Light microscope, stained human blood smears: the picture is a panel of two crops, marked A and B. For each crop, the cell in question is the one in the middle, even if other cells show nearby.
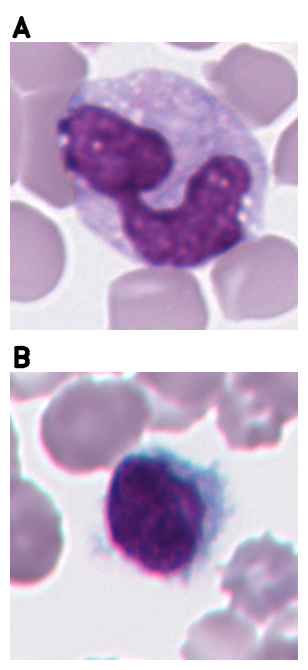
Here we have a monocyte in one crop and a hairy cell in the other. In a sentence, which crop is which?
In short, crop A is a monocyte and crop B is a hairy cell.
